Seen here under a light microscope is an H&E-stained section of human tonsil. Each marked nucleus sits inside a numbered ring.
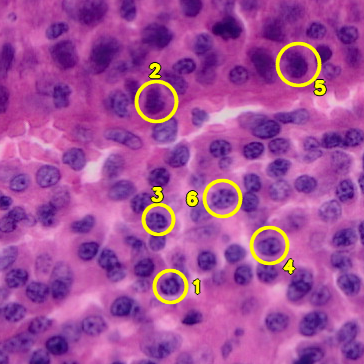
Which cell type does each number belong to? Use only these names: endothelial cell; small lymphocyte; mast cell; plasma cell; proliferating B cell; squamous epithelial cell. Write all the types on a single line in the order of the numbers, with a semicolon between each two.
plasma cell; squamous epithelial cell; plasma cell; plasma cell; squamous epithelial cell; plasma cell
